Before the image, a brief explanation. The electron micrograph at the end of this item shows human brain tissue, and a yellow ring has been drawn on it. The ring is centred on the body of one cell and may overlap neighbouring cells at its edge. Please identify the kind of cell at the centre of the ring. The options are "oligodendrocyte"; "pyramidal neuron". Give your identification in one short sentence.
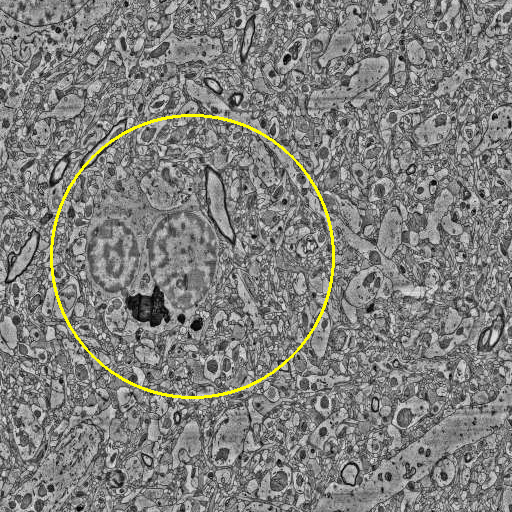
The ring has been placed around an oligodendrocyte.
